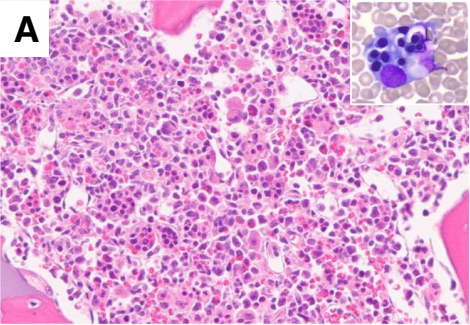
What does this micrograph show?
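This is a bone marrow biopsy stained pink and purple, showing a crowded space between pink bony trabeculae. The marrow is packed with cells; among small dark nuclei of blood-forming cells lie larger cells with more abundant pale pink cytoplasm, the histiocytes, which are increased here. Some of these larger cells contain small round bodies and red cells within their cytoplasm, the hemophagocytic forms. In the inset, a smear from the marrow aspirate shows one large cell with pale blue cytoplasm enclosing several small round dark nuclei of engulfed cells, set among pale red cells in the background.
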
